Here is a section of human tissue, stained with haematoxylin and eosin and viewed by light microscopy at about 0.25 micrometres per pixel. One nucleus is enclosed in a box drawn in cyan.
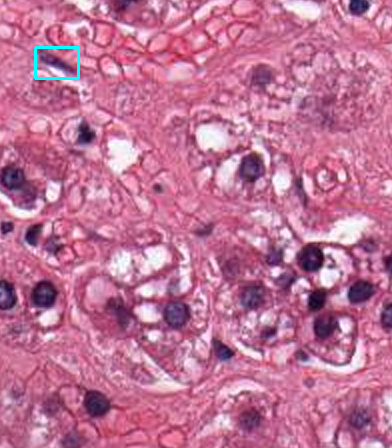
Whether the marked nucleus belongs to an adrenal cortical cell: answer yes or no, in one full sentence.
No, the marked nucleus belongs to a supporting cell, not to an adrenal cortical cell.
